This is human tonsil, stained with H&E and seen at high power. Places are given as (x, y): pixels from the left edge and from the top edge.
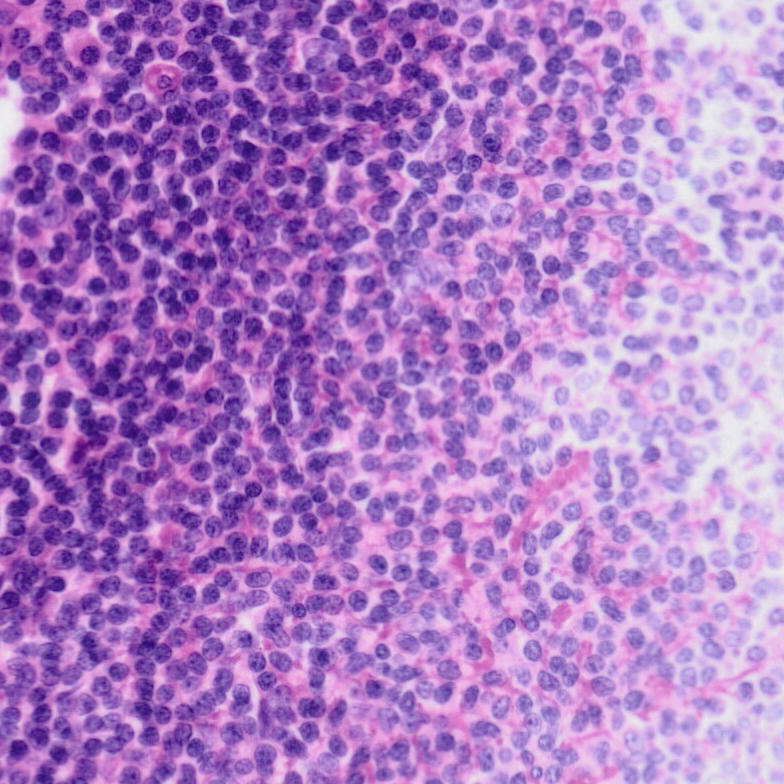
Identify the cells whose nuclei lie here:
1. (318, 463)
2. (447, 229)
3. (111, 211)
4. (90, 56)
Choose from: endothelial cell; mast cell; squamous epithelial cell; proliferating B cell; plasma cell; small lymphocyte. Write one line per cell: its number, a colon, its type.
1: small lymphocyte
2: small lymphocyte
3: small lymphocyte
4: plasma cell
